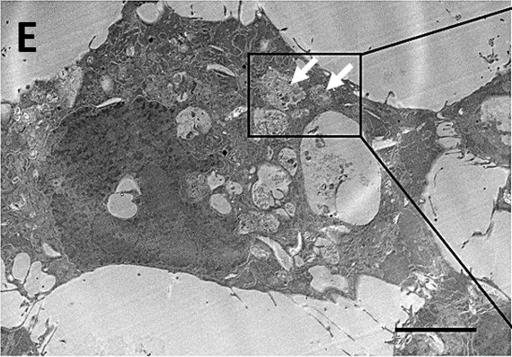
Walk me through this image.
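A cultured cell seen by transmission electron microscopy, with a large dark nucleus on one side and dense cytoplasm around it. The cytoplasm contains many membrane-bound compartments of varying size, some with heterogeneous, partly dense or membranous contents, resembling autophagosome-like vesicular structures. Several larger pale, nearly empty vacuoles also lie in the cytoplasm. Short processes project from the cell surface.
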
